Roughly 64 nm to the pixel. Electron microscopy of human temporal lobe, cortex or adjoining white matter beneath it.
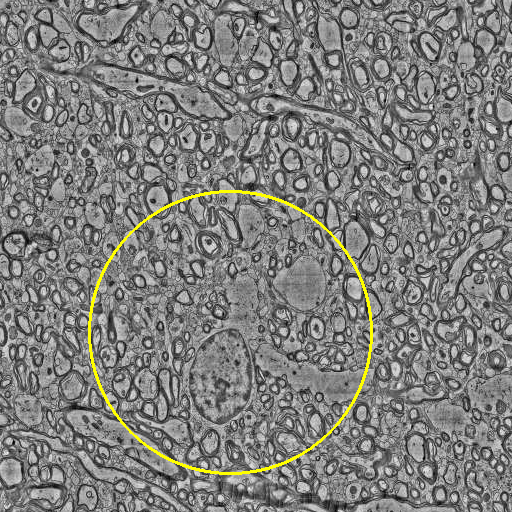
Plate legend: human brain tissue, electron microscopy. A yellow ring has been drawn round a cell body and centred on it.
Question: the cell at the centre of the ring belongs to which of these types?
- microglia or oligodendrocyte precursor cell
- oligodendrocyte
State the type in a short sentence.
The cell in the middle of the ring is a microglial cell or oligodendrocyte precursor cell.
